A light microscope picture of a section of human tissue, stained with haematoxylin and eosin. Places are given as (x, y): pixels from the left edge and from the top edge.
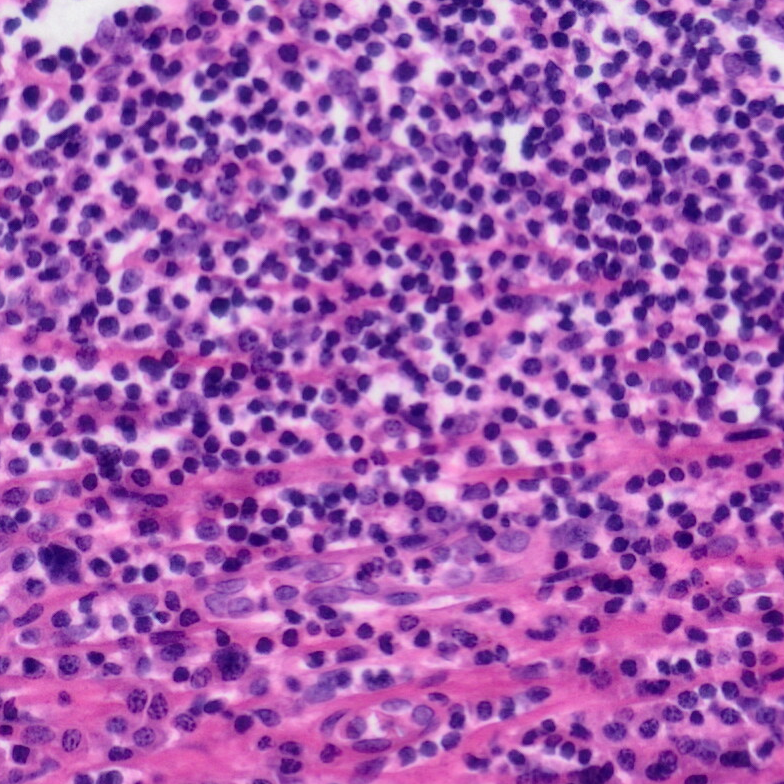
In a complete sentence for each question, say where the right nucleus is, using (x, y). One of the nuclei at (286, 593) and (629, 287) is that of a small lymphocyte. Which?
The nucleus at (629, 287) is the member of the pair belonging to a small lymphocyte.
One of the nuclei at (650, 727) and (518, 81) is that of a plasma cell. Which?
Of the two, the nucleus lying at (650, 727) is the one belonging to a plasma cell.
